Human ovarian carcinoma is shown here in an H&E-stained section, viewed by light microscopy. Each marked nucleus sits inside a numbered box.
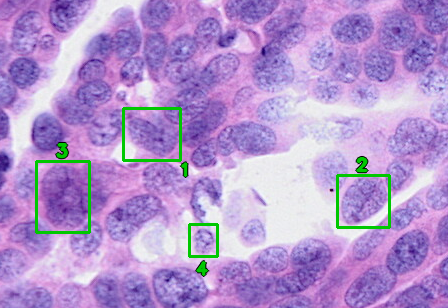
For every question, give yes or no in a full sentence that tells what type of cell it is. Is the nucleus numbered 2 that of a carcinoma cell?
Yes, for number 2, the cell is a carcinoma cell.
